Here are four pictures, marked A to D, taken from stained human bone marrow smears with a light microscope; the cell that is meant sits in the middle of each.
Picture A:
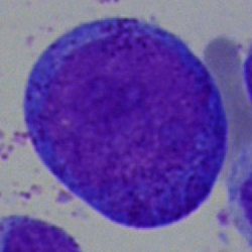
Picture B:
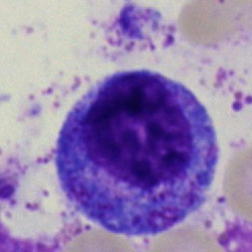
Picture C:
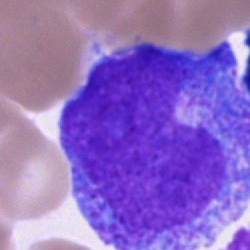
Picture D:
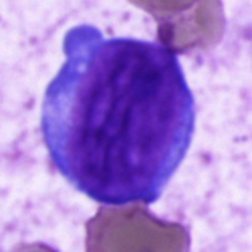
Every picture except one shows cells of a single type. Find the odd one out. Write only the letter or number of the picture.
D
